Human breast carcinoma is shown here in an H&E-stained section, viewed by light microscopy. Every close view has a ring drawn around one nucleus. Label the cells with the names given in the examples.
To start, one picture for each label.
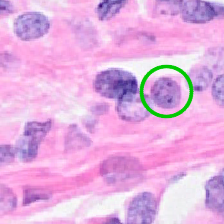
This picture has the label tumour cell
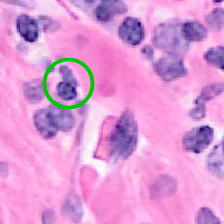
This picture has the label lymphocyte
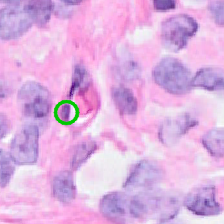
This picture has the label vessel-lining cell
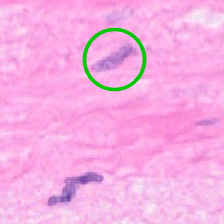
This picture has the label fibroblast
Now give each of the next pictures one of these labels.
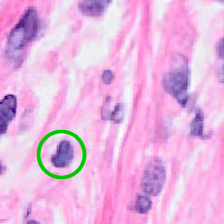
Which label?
lymphocyte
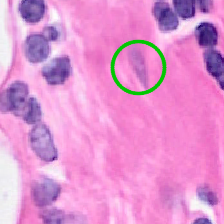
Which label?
fibroblast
